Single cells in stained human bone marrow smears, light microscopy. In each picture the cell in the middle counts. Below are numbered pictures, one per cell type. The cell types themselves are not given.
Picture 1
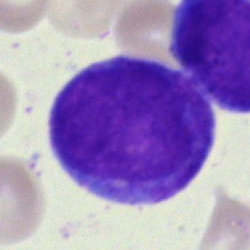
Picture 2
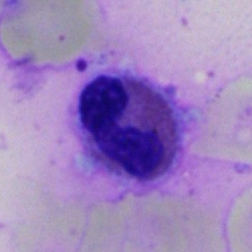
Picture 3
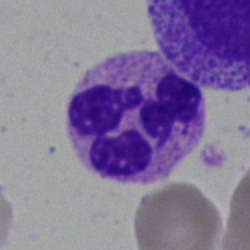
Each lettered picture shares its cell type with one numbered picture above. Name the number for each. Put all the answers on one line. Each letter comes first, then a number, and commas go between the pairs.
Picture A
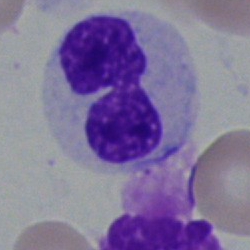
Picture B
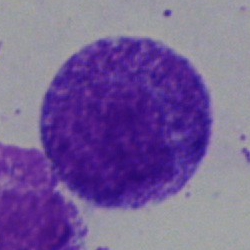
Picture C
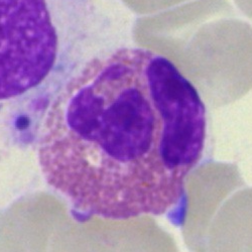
A 3, B 1, C 2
